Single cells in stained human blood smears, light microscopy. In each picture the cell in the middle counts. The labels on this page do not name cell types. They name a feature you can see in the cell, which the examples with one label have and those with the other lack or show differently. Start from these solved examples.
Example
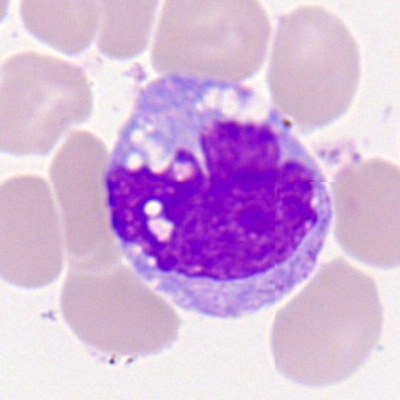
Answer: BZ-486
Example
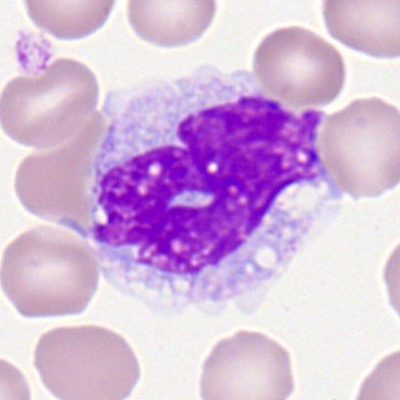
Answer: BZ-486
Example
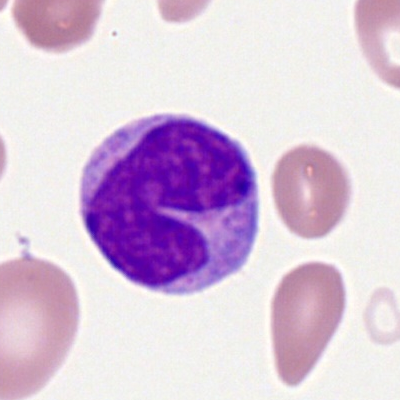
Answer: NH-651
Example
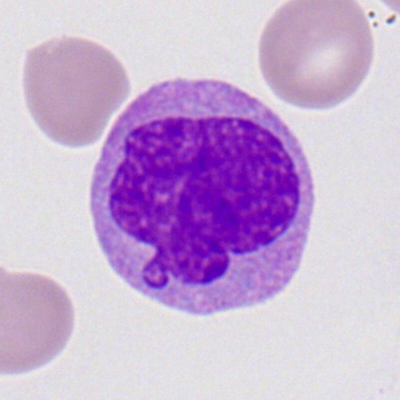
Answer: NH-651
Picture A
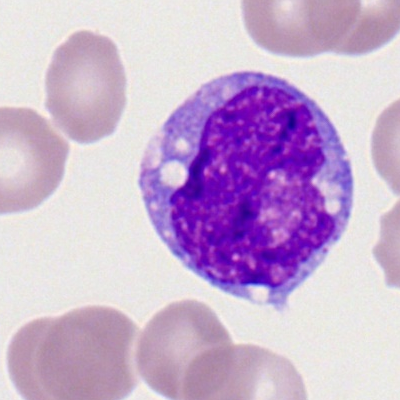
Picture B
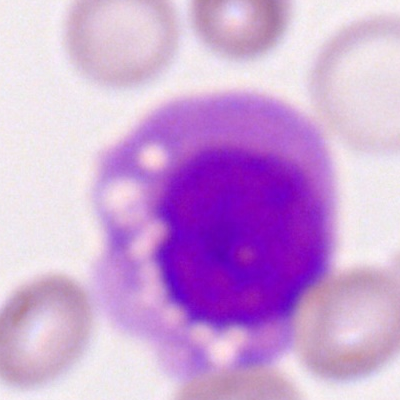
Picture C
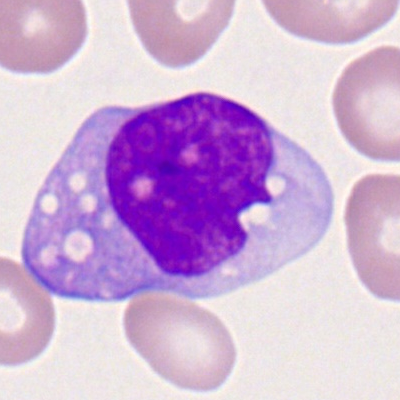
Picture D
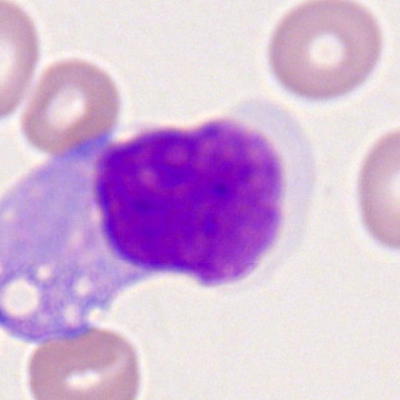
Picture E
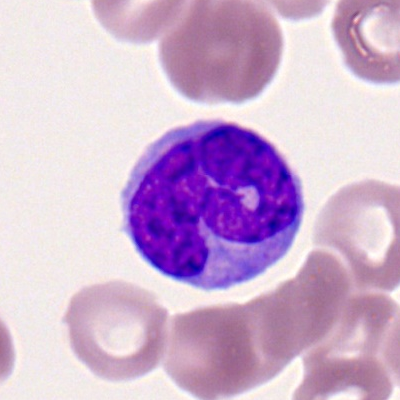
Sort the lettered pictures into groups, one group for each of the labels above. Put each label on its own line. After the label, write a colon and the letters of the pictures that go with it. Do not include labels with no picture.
BZ-486: A, B, C, D
NH-651: E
